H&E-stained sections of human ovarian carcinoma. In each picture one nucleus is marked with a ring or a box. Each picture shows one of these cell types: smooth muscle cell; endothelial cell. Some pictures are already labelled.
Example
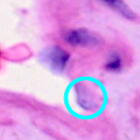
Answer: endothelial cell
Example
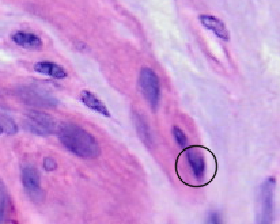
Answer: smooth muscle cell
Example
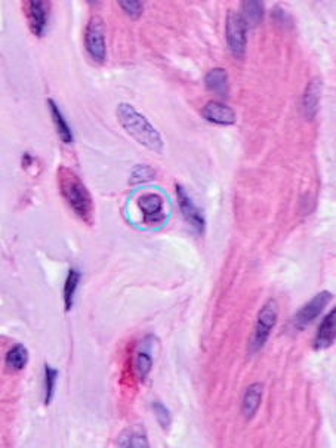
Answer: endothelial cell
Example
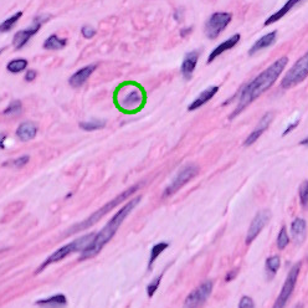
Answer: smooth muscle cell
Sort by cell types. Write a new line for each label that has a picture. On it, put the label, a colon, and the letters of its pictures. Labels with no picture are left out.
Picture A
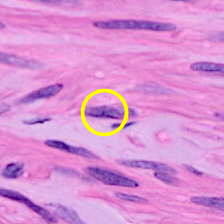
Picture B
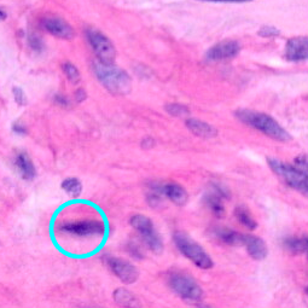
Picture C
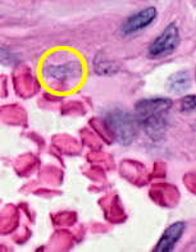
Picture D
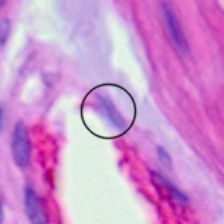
smooth muscle cell: A, B
endothelial cell: C, D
